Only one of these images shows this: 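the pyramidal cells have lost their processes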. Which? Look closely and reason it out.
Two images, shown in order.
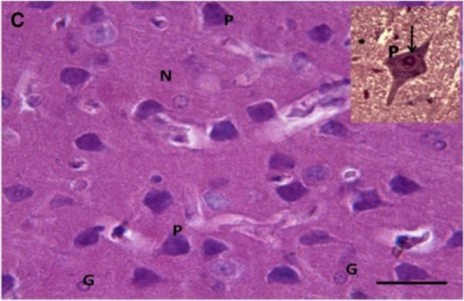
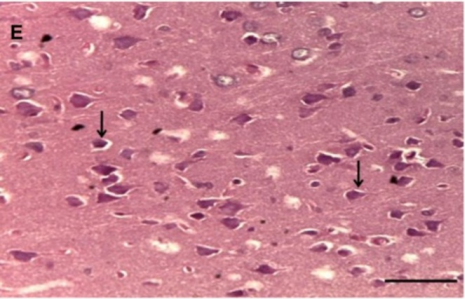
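The second image. Second image: shrunken cell bodies without visible processes, many in clear halos. First image: triangular cell bodies with tapering processes at their corners.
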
